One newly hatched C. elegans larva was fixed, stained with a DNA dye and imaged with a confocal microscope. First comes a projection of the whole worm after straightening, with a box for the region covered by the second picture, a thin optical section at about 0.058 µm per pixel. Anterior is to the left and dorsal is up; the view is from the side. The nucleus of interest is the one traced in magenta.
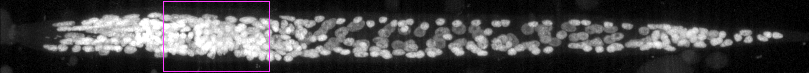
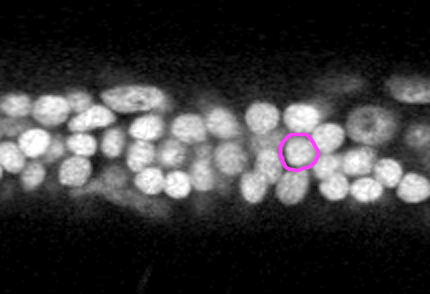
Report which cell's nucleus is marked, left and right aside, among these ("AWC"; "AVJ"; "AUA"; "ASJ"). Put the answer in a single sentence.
The marked nucleus is that of AVJ, a neuron.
